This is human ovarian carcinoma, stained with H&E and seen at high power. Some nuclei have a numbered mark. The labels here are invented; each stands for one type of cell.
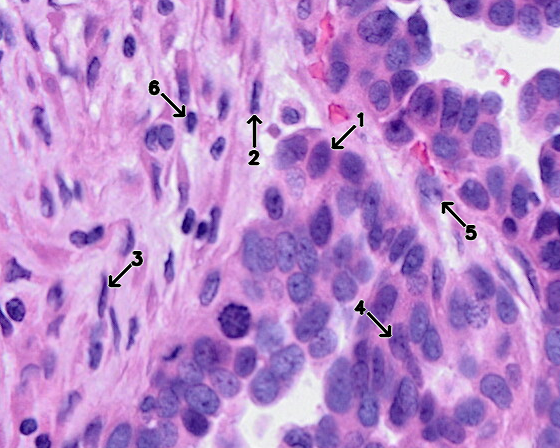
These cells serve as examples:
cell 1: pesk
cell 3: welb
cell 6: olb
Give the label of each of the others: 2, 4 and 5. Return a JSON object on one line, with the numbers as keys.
{"2": "welb", "4": "pesk", "5": "welb"}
